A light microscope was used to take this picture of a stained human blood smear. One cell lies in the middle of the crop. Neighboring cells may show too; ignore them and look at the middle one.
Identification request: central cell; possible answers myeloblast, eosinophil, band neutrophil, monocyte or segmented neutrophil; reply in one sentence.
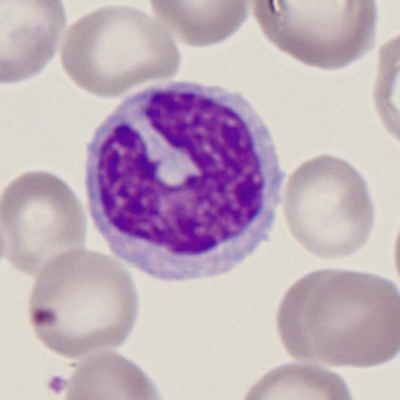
Classification of the middle cell gives a monocyte.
